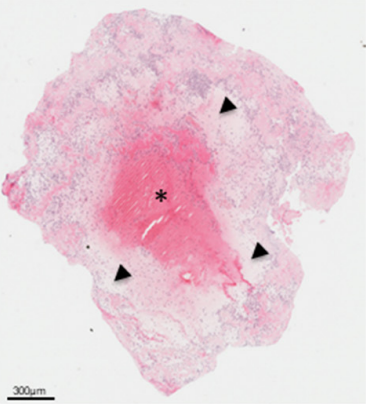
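A single compact, intensely red-pink core rich in red blood cells lies in the centre. It is surrounded on all sides by a broad rim of paler pink to lilac platelet-rich material. Small dark blue nucleated cells are scattered through this outer rim.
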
